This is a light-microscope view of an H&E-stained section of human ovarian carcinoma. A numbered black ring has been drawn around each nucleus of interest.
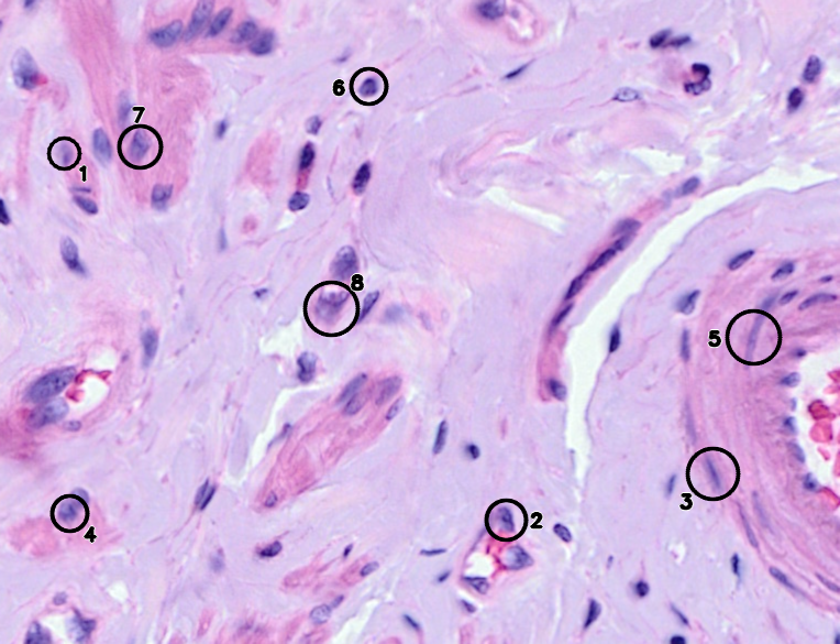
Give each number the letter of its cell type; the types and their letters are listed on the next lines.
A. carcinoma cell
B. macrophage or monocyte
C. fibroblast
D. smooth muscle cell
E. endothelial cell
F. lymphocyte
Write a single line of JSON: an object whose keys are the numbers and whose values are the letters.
{"1": "D", "2": "E", "3": "D", "4": "D", "5": "D", "6": "F", "7": "D", "8": "E"}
